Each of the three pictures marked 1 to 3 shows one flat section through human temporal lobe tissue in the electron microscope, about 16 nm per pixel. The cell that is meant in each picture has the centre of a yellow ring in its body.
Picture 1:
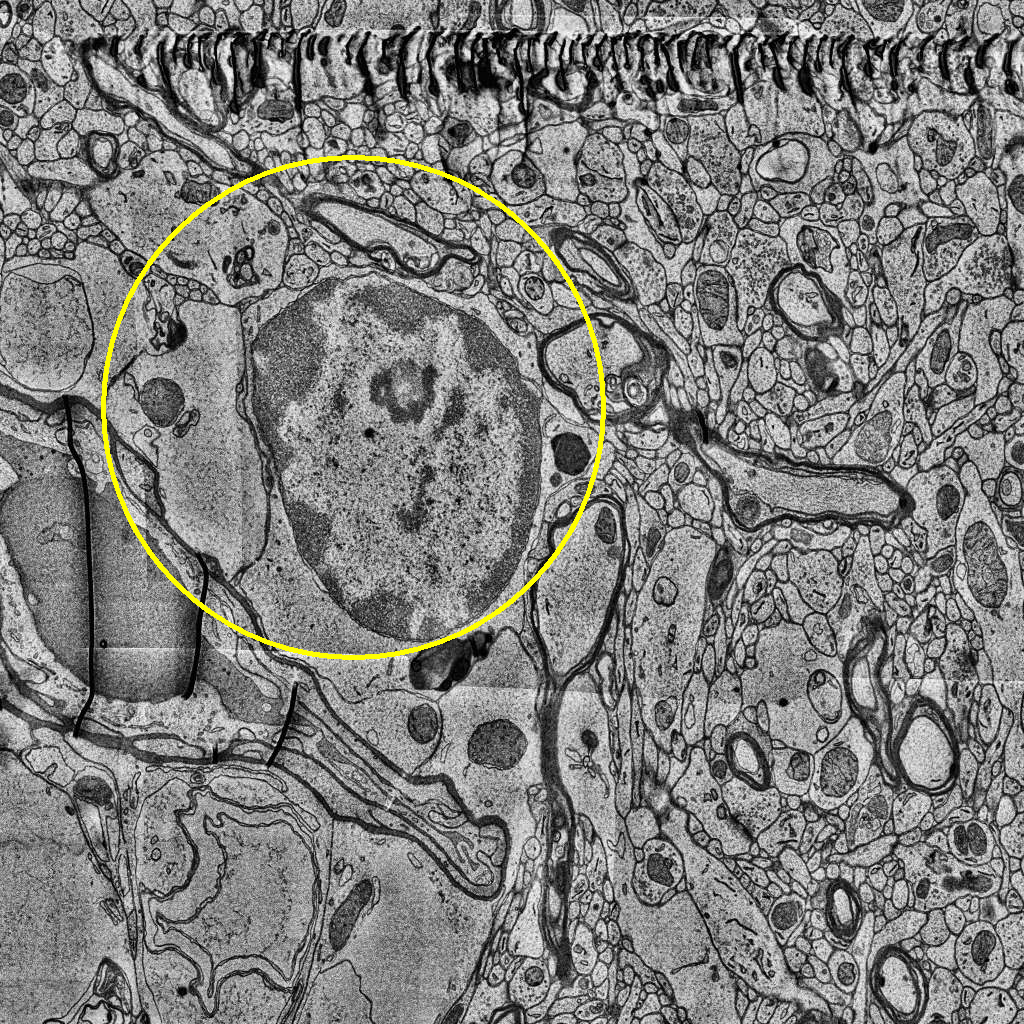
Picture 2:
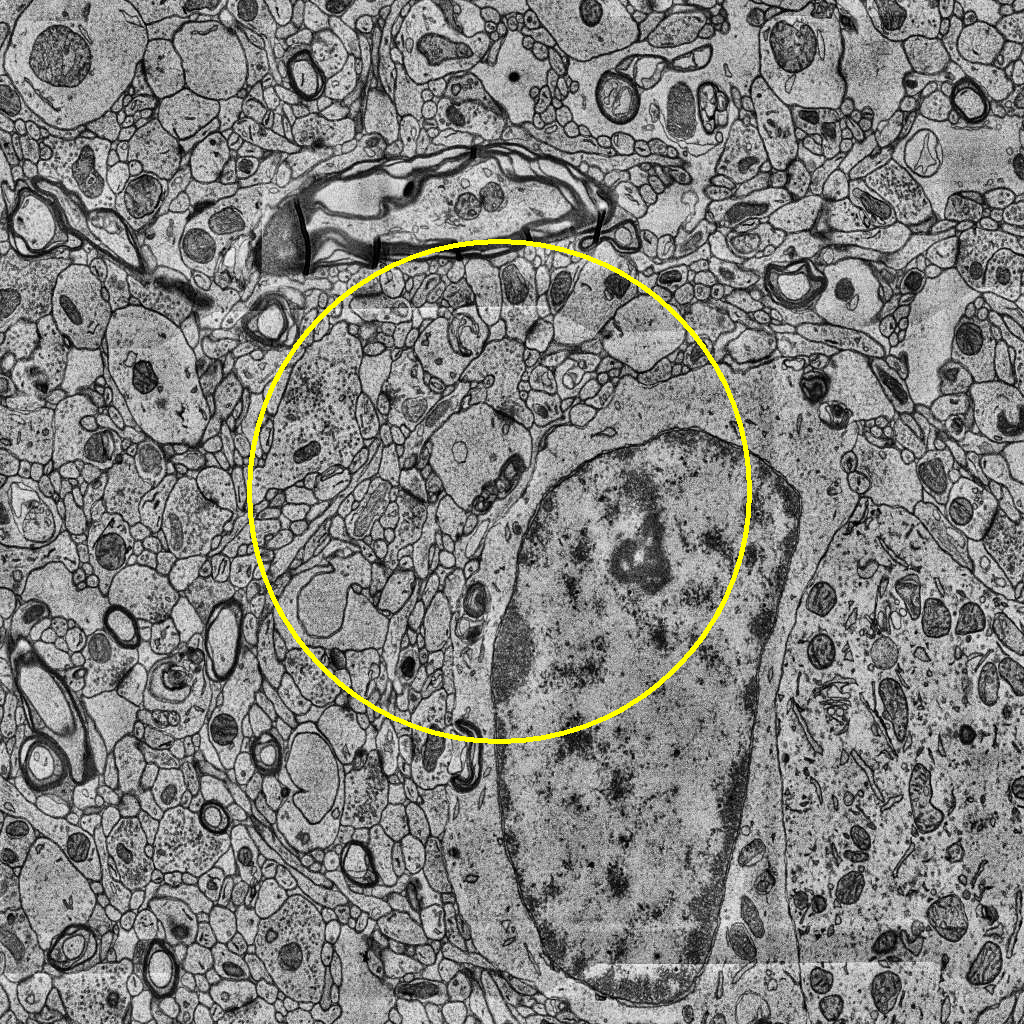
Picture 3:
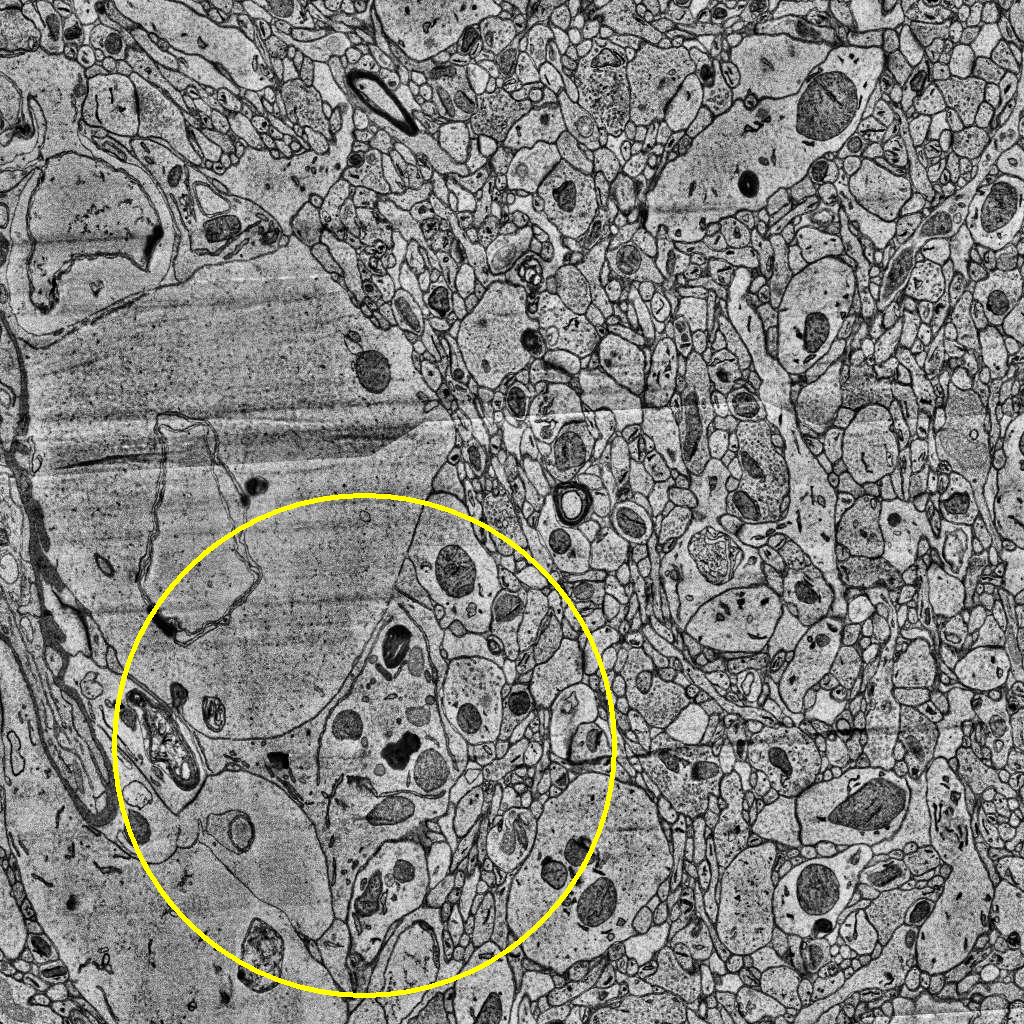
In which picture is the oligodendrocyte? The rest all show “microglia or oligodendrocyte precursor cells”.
Picture 2 shows the oligodendrocyte.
